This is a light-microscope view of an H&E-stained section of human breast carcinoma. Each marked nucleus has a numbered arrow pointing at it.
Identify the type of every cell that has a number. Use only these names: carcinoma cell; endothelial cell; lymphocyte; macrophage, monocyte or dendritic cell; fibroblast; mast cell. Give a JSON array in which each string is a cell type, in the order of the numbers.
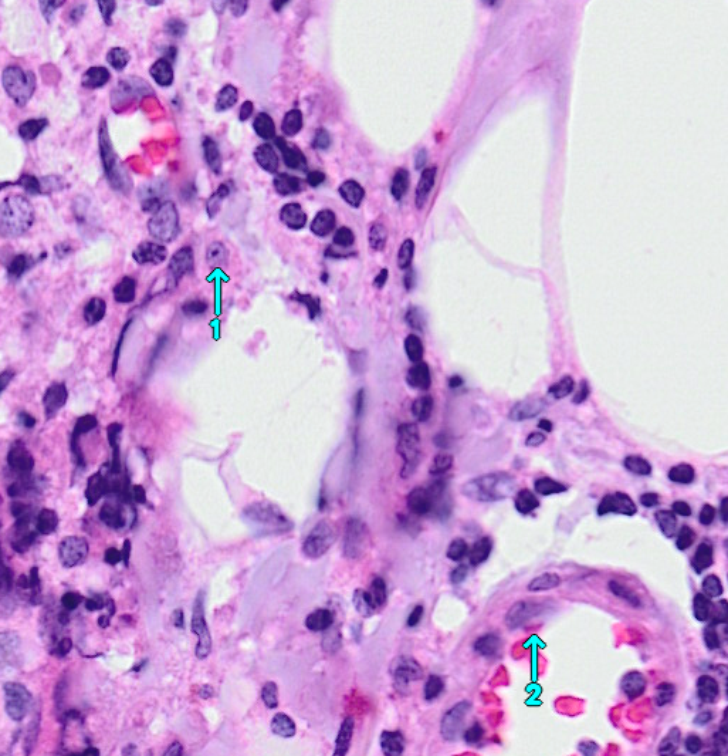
["mast cell", "endothelial cell"]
